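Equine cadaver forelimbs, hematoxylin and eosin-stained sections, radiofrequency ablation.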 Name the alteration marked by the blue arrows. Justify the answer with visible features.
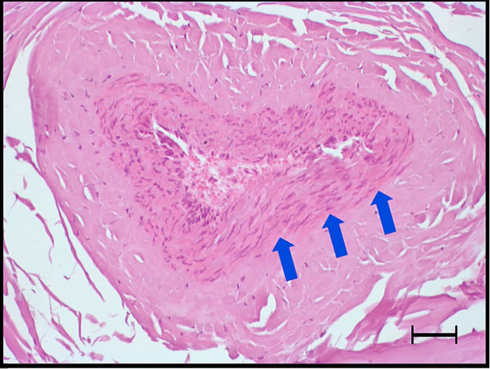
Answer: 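Nuclei in the vessel wall near the arrows are streaked and indistinct rather than crisp and oval. The wall layers look fused and blurred. The answer: nuclear smearing.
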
